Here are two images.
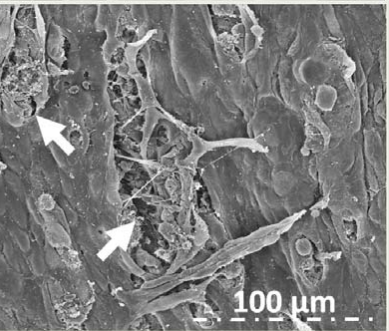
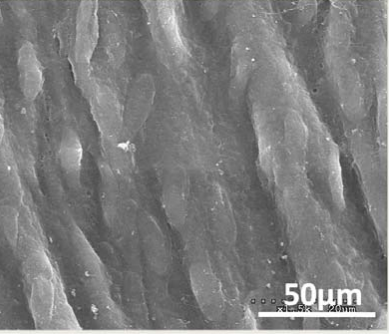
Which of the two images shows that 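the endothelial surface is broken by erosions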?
The first image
